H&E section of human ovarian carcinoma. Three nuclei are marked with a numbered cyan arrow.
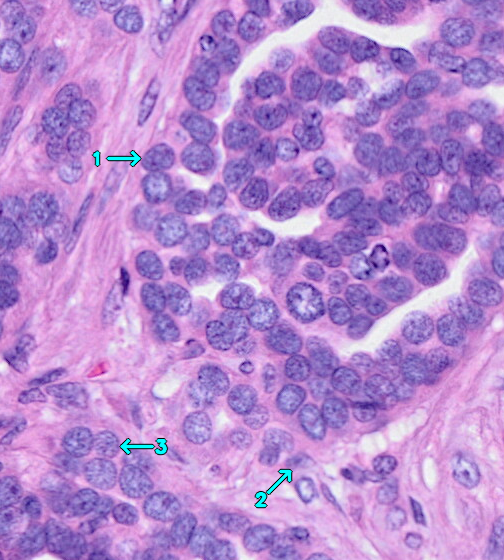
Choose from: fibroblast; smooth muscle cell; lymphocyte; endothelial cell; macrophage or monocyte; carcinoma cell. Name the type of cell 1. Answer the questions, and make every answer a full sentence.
Looking at the numbered marks, cell 1 is a carcinoma cell.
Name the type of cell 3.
The cell numbered 3 represents a carcinoma cell.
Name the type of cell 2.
Cell 2, as marked in the section, is a fibroblast.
